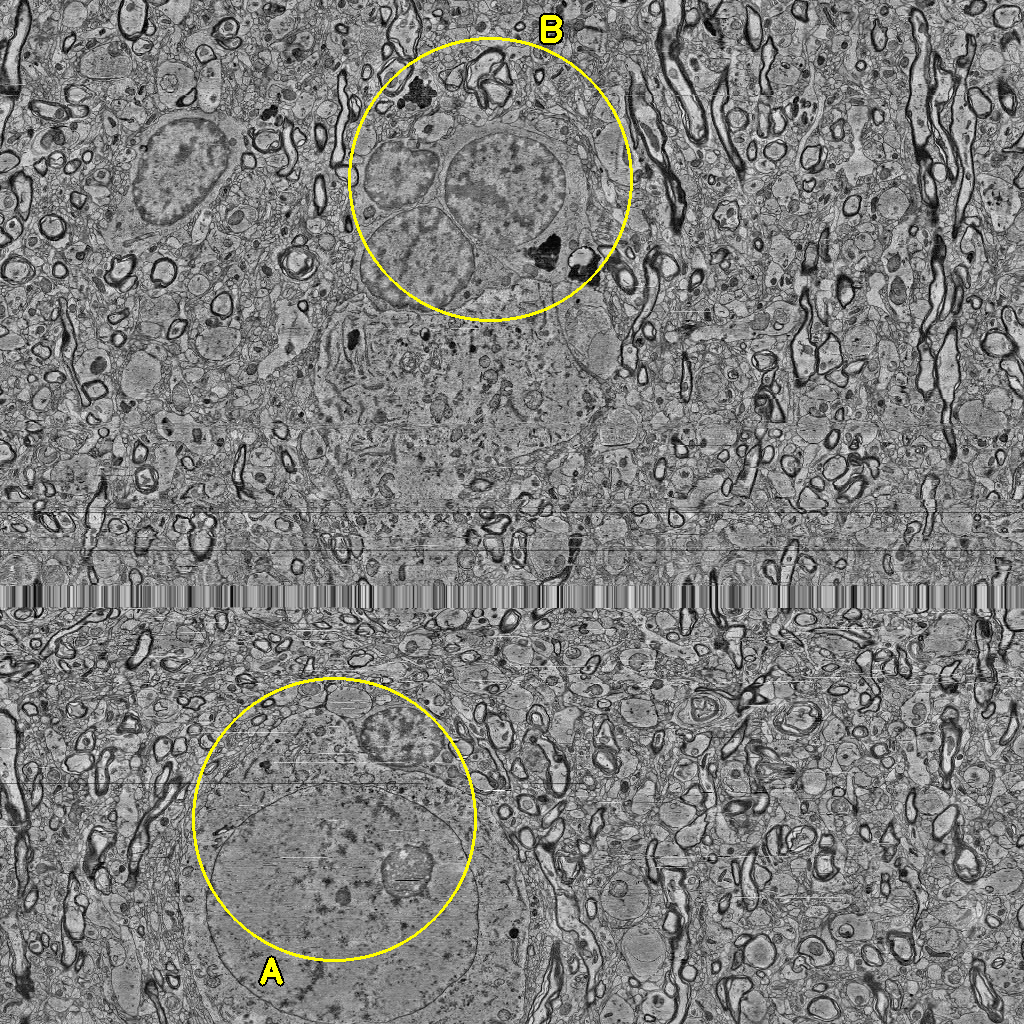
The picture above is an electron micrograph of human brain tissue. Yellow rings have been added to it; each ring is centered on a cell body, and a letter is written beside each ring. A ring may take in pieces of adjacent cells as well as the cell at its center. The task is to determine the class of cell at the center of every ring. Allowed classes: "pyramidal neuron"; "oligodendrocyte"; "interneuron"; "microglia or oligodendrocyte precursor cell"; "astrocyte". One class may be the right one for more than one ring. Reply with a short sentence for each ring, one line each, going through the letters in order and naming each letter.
Ring A is centered on a pyramidal neuron.
Ring B is centered on an oligodendrocyte.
